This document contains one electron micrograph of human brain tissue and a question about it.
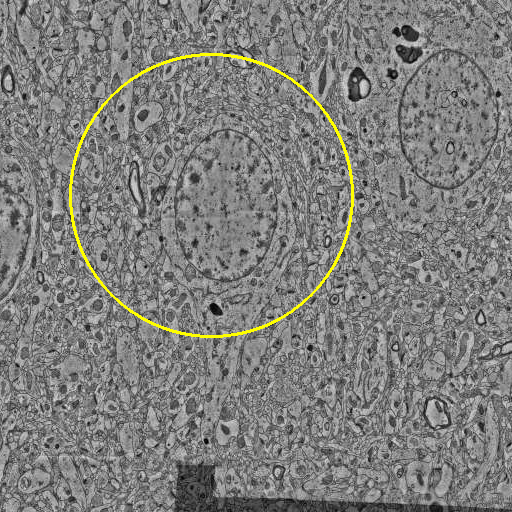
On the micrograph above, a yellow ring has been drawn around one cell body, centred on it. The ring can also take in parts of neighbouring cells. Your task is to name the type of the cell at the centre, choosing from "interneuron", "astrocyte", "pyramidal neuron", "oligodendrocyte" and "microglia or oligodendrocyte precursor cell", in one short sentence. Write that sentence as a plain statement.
Here the ring is centred on a pyramidal neuron.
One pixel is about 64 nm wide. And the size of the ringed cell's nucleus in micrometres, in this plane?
The nucleus works out at approximately 10 by 7 micrometres in this plane.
